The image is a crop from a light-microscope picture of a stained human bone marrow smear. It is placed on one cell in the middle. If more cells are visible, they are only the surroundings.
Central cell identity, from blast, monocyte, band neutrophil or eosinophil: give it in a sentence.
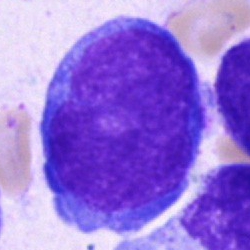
This crop is built around a blast at its centre.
